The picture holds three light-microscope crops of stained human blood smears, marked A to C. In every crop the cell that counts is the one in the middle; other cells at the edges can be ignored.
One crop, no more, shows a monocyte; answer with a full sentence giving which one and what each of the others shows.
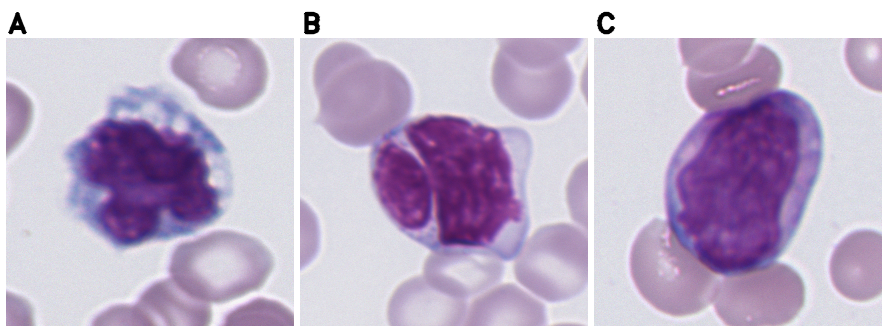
Crop A presents a monocyte, while crop B is a large granular lymphocyte and crop C is an atypical promyelocyte.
